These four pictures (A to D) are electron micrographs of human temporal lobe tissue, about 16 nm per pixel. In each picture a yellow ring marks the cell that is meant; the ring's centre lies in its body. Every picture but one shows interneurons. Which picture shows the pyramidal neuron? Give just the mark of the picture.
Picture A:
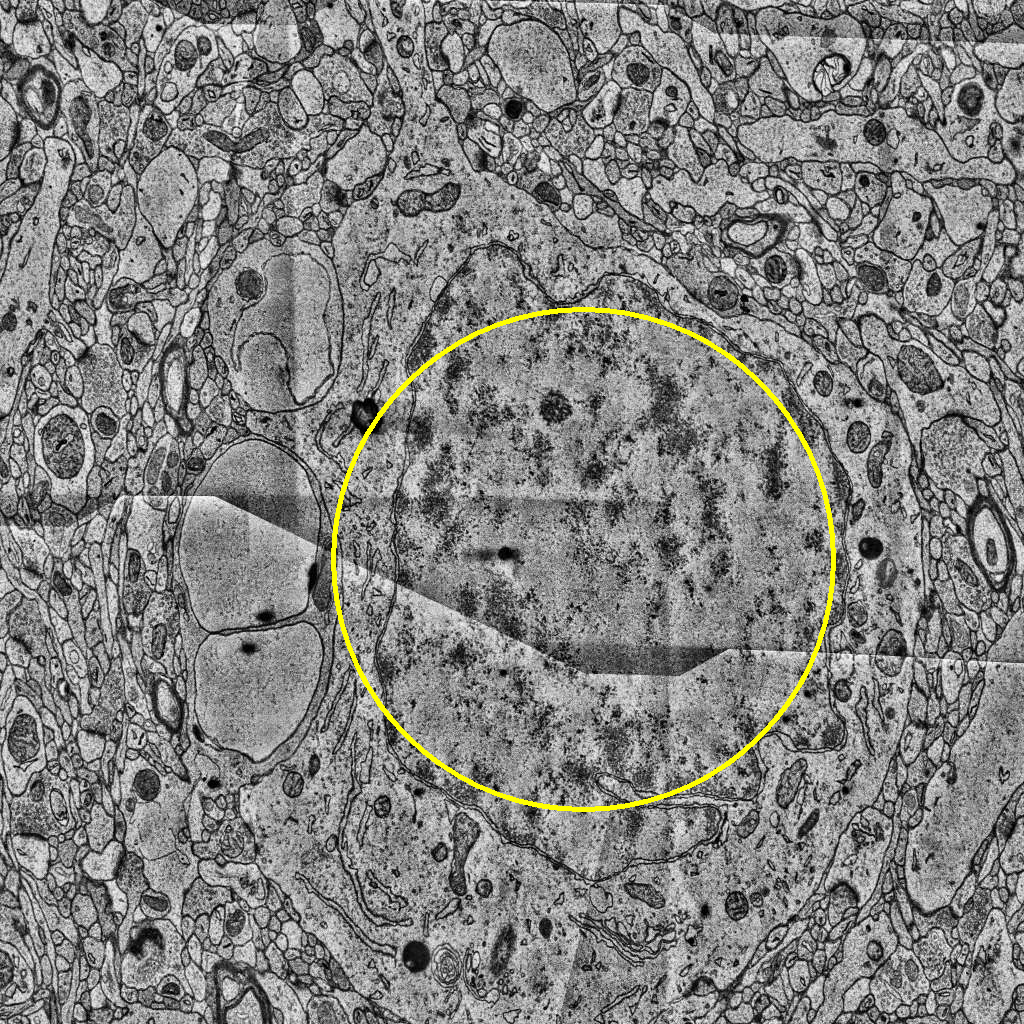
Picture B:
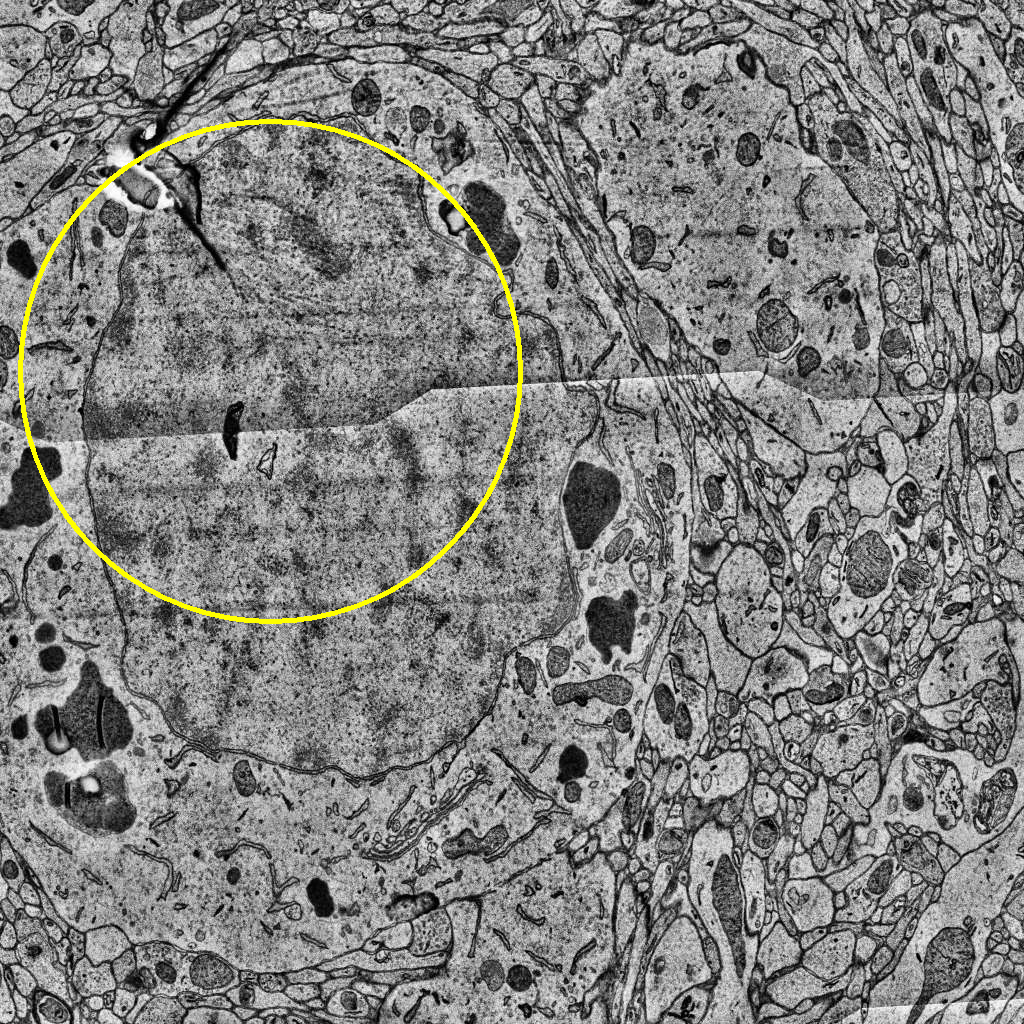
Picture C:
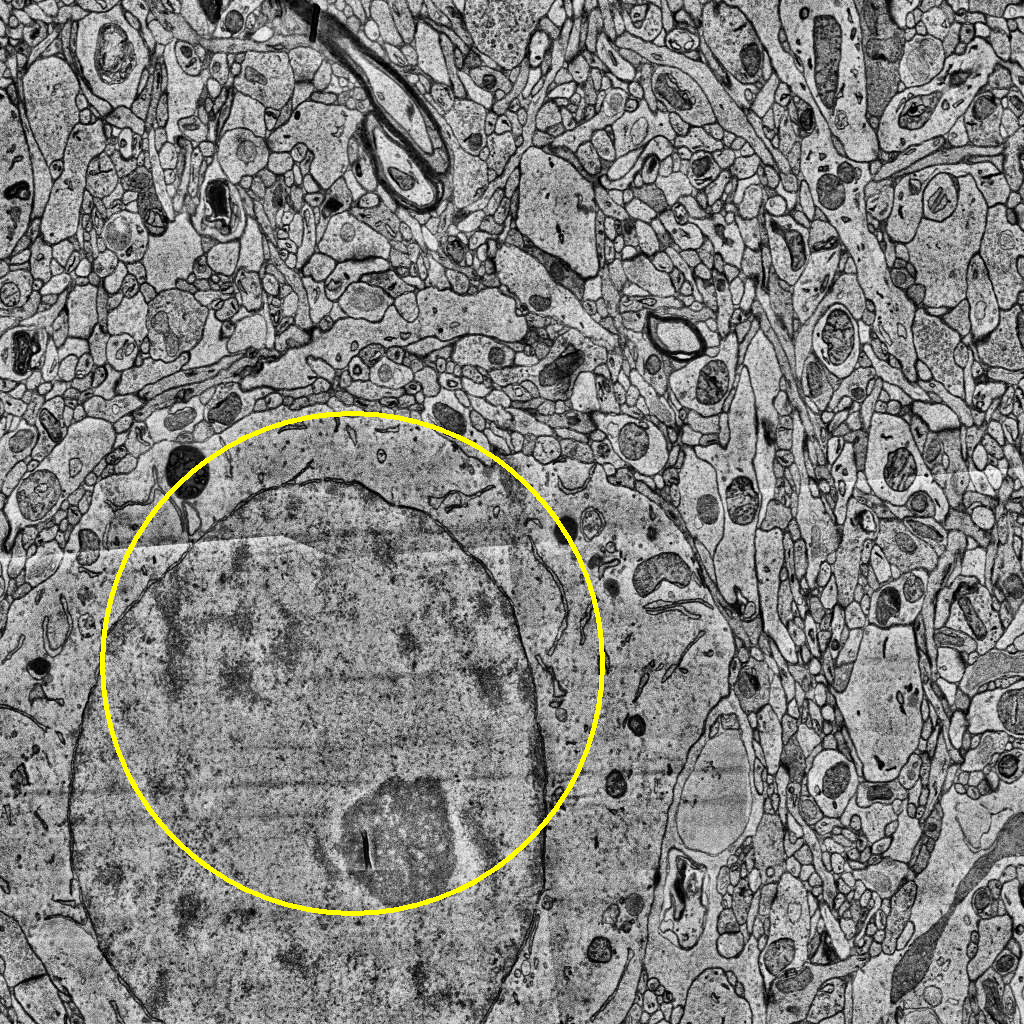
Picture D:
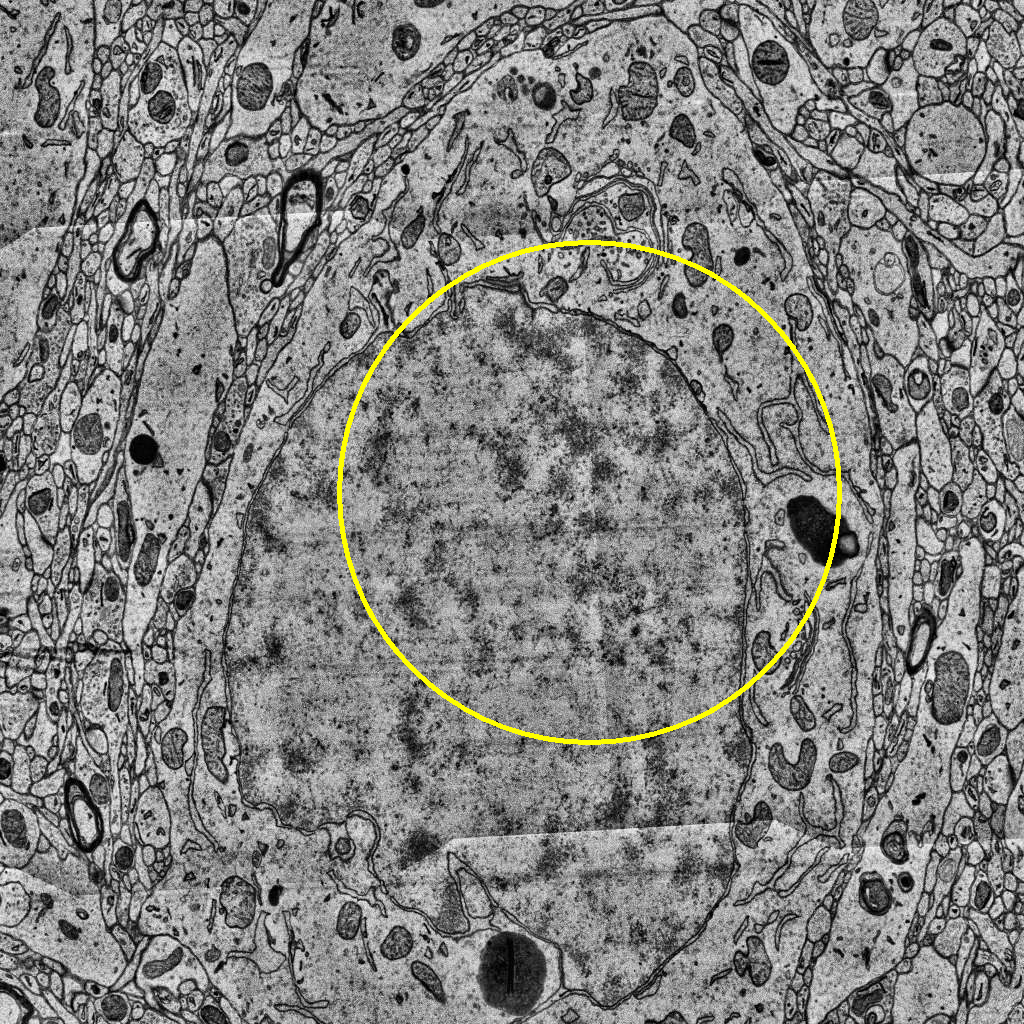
C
